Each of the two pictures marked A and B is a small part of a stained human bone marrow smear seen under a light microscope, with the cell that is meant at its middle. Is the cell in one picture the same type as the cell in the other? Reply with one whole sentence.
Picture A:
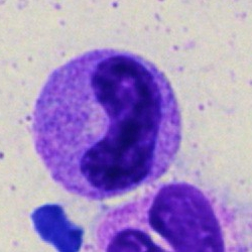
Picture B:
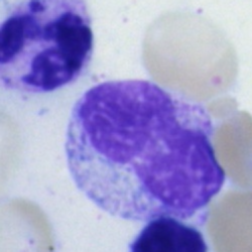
No, they differ: the cell is a band neutrophil in picture A and a metamyelocyte in picture B.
